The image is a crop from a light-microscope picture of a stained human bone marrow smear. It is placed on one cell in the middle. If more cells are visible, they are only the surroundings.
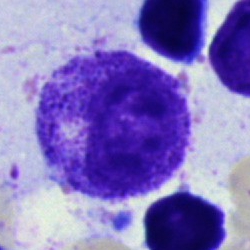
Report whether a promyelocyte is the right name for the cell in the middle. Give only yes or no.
yes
